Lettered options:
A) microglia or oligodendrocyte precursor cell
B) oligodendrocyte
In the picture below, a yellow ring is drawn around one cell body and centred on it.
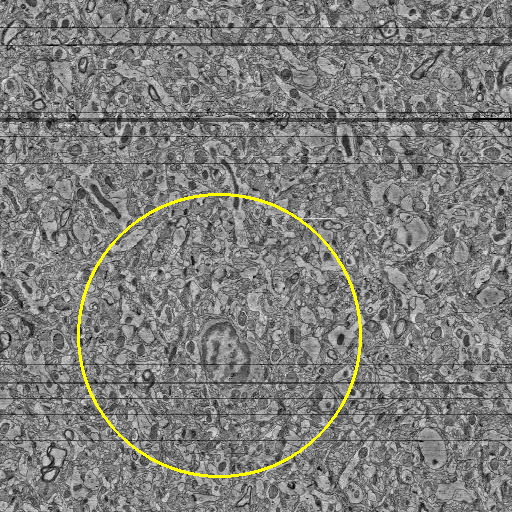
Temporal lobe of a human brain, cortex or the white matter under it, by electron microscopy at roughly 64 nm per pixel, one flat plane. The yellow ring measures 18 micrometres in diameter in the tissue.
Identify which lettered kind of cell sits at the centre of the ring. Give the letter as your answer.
B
